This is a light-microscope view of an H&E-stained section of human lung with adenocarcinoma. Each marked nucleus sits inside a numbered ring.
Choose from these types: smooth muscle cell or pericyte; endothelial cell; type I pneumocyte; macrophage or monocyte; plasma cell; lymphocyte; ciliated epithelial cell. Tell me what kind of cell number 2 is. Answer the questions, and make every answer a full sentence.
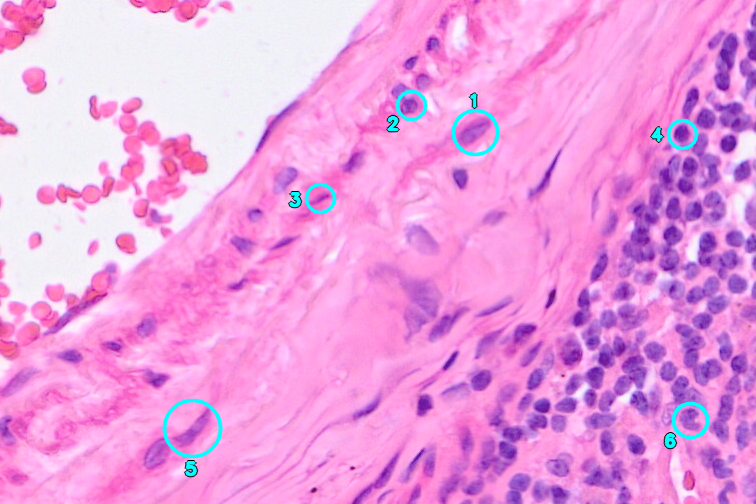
Recognised here as a smooth muscle cell or pericyte is the cell numbered 2.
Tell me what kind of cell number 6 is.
The cell indicated by marker 6 is a lymphocyte in this section.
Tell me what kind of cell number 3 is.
To a smooth muscle cell or pericyte belongs the nucleus marked 3.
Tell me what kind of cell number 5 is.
The numbered cell 5 in this field is a smooth muscle cell or pericyte.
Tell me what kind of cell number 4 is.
At number 4, the marked cell is a lymphocyte.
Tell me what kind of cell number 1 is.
Recognised here as a smooth muscle cell or pericyte is the cell numbered 1.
